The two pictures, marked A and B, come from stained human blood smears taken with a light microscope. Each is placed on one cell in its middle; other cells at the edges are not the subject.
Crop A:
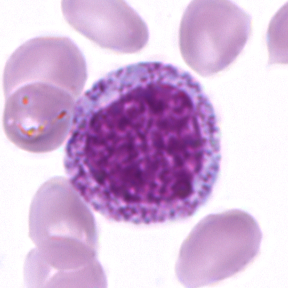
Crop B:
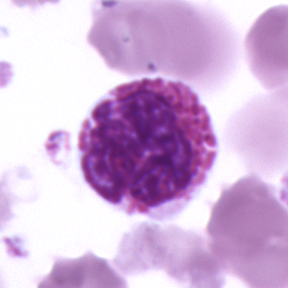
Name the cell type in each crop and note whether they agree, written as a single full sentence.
No, crop A contains a myelocyte; an eosinophil is what crop B contains.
